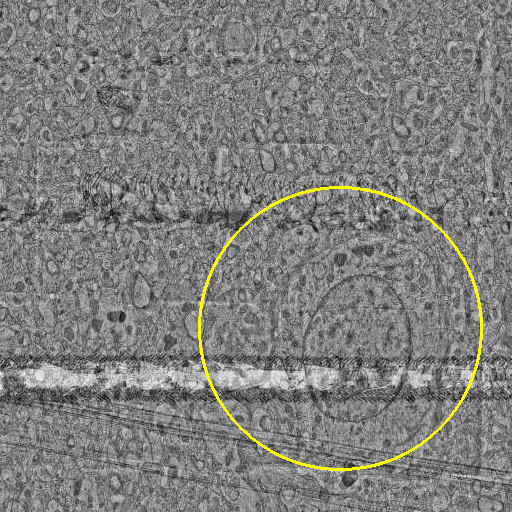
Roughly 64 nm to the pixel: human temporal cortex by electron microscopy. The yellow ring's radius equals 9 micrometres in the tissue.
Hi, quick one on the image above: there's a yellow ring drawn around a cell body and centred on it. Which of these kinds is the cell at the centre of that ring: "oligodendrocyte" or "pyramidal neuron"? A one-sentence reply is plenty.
The cell at the centre of the ring is a pyramidal neuron.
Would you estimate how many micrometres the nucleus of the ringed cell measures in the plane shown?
About 10 by 7 micrometers for the nucleus, in this plane.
